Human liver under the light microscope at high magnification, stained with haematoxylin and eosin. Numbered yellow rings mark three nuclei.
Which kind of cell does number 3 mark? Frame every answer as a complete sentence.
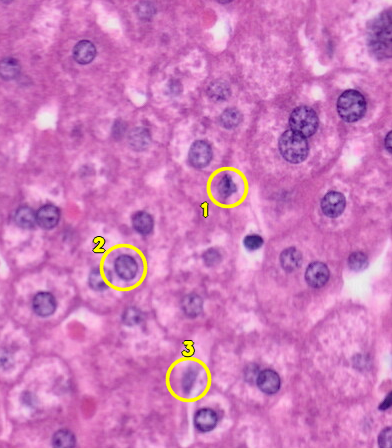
Among the marked nuclei, number 3 belongs to a Kupffer cell.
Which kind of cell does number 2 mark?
Classified as a hepatocyte is the cell with the number 2.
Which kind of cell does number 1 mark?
Number 1 among the marked cells is an endothelial cell.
